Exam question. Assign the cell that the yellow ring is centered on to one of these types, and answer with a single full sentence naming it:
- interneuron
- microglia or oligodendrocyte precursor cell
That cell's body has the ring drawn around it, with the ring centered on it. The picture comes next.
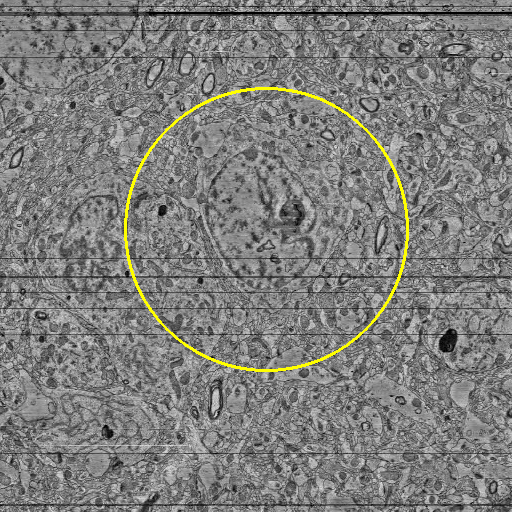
In the micrograph, the cell the yellow ring is centered on is an interneuron.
